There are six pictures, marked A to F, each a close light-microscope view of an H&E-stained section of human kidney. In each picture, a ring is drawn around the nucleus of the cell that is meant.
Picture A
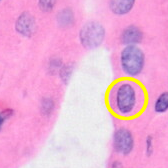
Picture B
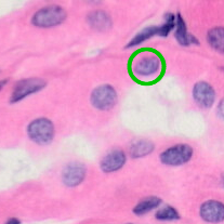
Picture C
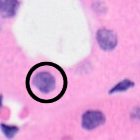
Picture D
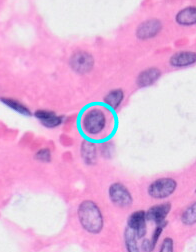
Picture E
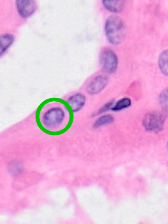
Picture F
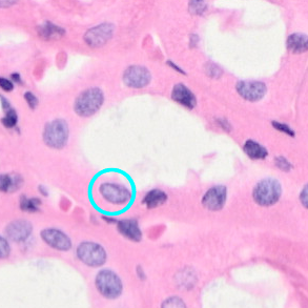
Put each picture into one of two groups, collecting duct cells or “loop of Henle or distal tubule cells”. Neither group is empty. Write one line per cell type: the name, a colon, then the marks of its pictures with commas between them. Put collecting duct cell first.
collecting duct cell: D, E
loop of Henle or distal tubule cell: A, B, C, F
